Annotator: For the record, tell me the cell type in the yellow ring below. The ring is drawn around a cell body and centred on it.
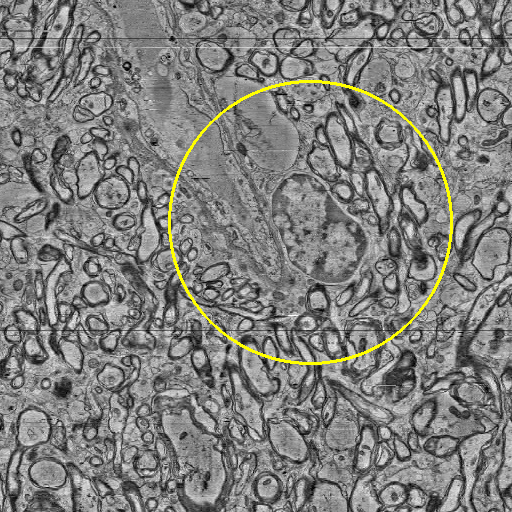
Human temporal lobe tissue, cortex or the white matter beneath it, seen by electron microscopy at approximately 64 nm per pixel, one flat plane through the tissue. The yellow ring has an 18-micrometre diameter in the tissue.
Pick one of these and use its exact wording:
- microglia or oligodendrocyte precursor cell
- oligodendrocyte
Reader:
microglia or oligodendrocyte precursor cell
